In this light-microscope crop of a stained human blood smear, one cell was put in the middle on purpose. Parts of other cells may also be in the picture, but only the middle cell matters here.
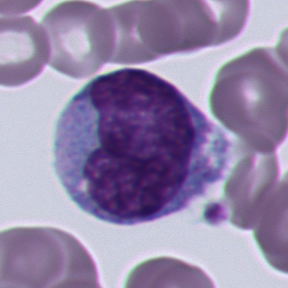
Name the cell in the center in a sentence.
Answering briefly, the cell in the middle is a monocyte.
